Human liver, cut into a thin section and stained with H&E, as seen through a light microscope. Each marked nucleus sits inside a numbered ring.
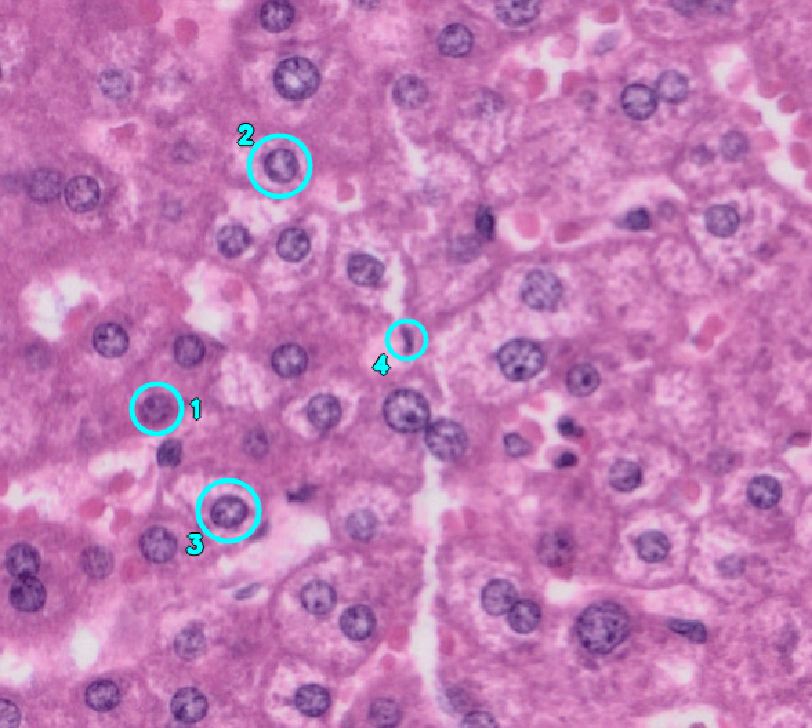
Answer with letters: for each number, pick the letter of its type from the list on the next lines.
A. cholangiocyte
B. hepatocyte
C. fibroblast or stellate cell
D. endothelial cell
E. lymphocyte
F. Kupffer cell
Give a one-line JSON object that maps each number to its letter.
{"1": "B", "2": "B", "3": "B", "4": "D"}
